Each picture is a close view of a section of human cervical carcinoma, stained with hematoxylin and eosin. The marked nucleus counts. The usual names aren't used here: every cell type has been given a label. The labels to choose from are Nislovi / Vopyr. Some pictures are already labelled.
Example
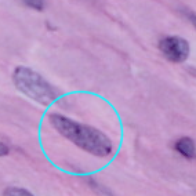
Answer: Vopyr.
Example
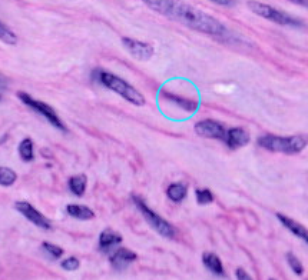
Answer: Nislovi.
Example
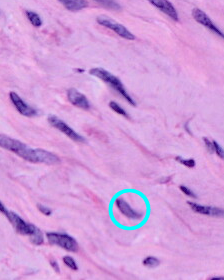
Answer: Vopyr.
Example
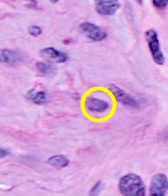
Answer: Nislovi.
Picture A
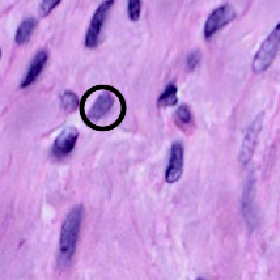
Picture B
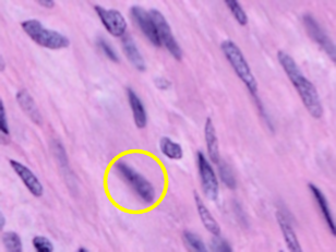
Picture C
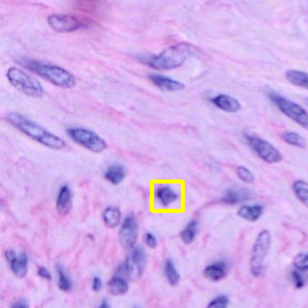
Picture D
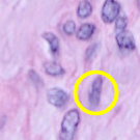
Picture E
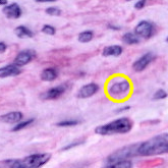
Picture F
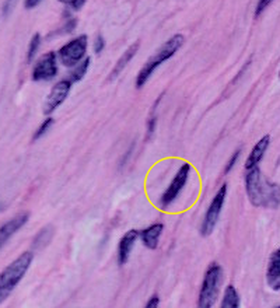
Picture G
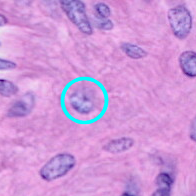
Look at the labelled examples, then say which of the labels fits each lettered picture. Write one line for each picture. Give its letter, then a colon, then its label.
A: Vopyr.
B: Vopyr.
C: Nislovi.
D: Nislovi.
E: Nislovi.
F: Vopyr.
G: Nislovi.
